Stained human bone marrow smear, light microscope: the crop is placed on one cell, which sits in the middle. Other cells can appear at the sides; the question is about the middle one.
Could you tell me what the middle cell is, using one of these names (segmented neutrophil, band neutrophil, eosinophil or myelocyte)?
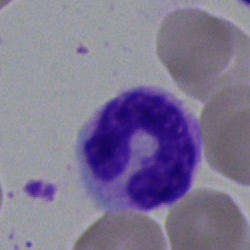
band neutrophil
